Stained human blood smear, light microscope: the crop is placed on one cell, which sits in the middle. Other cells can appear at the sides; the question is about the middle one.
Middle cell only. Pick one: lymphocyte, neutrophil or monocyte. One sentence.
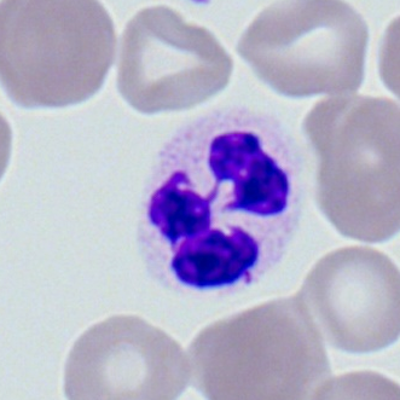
Seen at the centre of the crop is a neutrophil.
